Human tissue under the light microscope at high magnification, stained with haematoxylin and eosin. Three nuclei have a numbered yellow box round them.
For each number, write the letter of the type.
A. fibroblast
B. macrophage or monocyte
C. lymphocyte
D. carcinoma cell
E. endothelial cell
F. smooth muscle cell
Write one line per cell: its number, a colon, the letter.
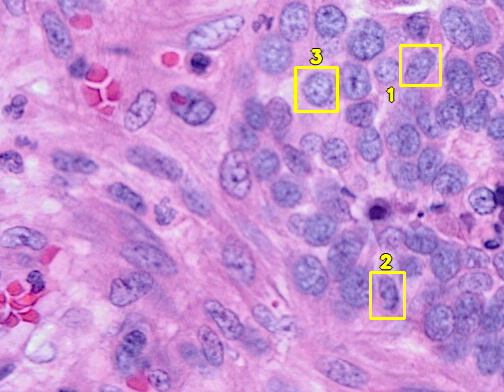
1: D
2: B
3: D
